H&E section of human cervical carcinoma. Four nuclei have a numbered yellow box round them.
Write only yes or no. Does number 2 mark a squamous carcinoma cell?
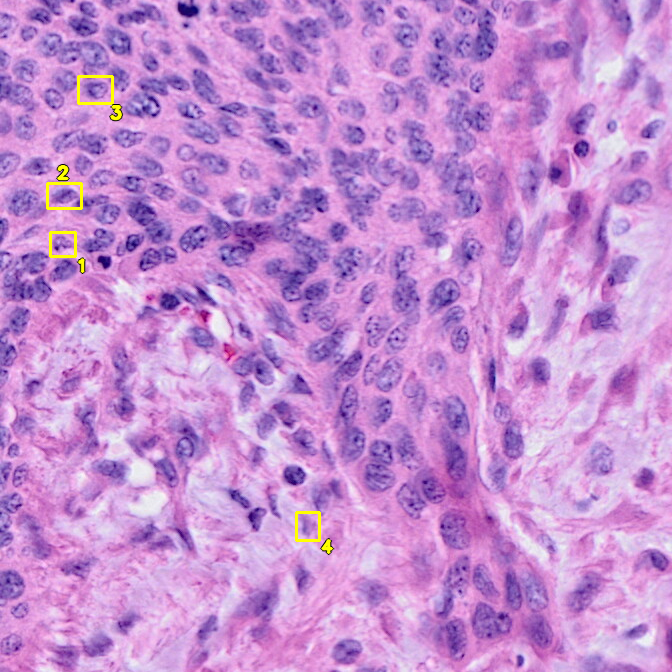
yes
